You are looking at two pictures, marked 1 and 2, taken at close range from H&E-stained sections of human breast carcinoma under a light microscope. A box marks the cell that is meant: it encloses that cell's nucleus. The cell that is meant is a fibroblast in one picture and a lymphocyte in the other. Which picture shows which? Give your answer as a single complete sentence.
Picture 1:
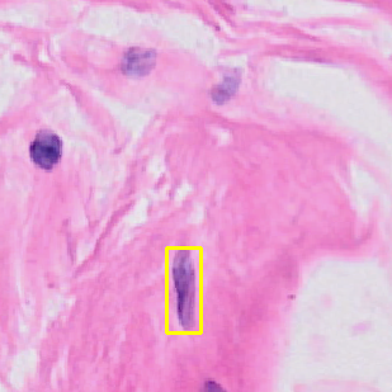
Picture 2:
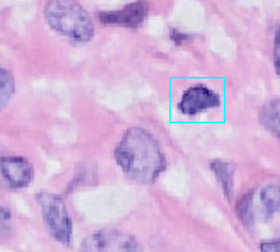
Picture 2 shows a lymphocyte, while picture 1 shows a fibroblast.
